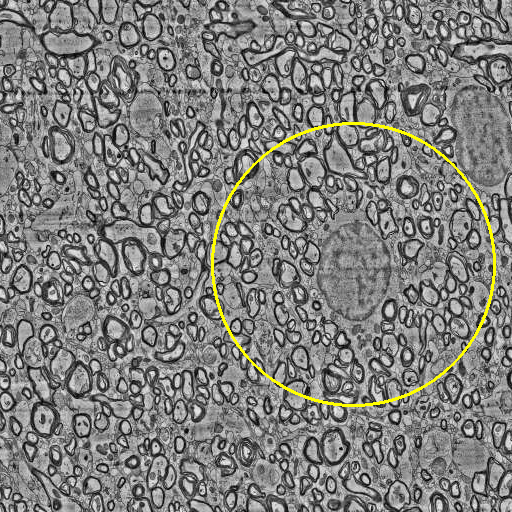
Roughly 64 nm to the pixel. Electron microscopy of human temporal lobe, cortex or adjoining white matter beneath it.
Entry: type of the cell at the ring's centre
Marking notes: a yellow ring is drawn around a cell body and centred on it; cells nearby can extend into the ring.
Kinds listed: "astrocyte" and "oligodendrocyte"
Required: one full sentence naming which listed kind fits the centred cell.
My entry names an oligodendrocyte as the cell whose body the yellow ring centres on.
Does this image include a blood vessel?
No, there is no blood vessel.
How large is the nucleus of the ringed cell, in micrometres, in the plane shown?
In this plane, the nucleus is roughly 7 by 5 micrometres.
